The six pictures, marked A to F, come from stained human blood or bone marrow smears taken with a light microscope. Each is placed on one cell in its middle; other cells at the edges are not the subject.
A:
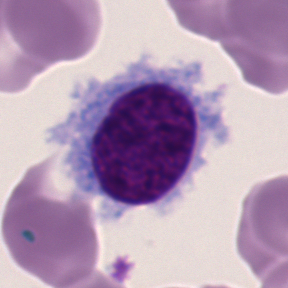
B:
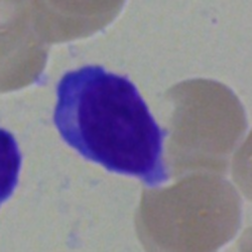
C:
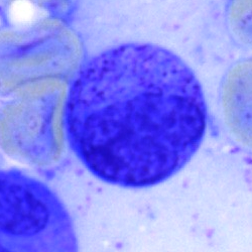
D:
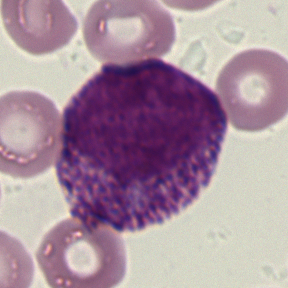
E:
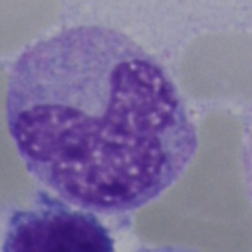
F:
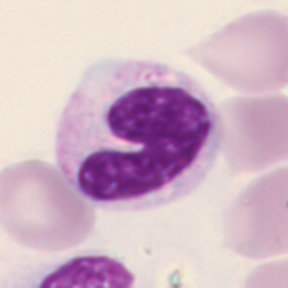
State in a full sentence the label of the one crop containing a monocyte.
So the crop with a monocyte at its center is crop E.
